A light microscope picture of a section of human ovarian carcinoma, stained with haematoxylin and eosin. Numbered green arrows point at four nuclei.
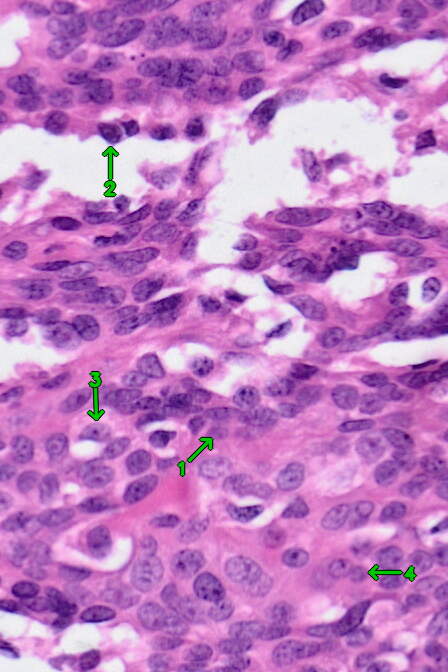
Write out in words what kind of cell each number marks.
Cell 1 is a carcinoma cell, cell 2 is a carcinoma cell, cell 3 is a macrophage or monocyte and cell 4 is a carcinoma cell.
